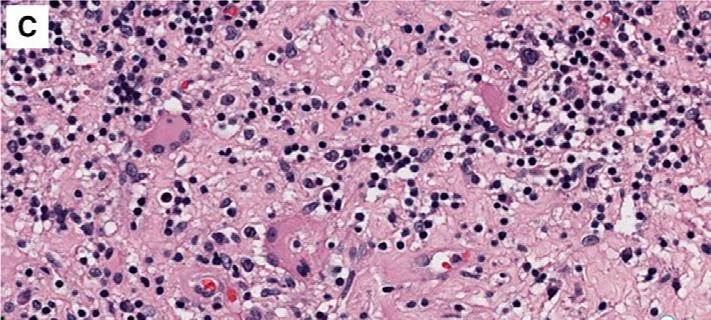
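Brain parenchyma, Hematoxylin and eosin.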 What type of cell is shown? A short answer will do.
multinucleated giant cells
